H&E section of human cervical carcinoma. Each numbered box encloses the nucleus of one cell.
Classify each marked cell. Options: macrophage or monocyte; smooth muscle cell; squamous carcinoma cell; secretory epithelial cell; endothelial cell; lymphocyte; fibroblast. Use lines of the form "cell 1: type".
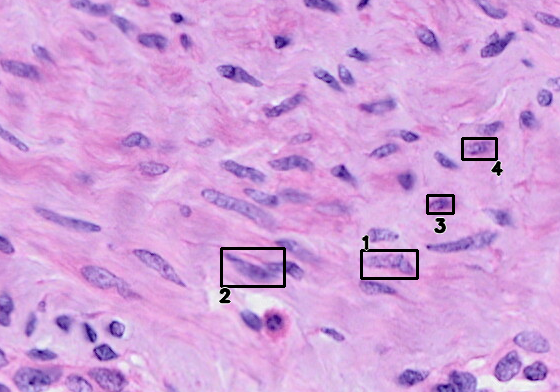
cell 1: smooth muscle cell
cell 2: fibroblast
cell 3: smooth muscle cell
cell 4: smooth muscle cell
